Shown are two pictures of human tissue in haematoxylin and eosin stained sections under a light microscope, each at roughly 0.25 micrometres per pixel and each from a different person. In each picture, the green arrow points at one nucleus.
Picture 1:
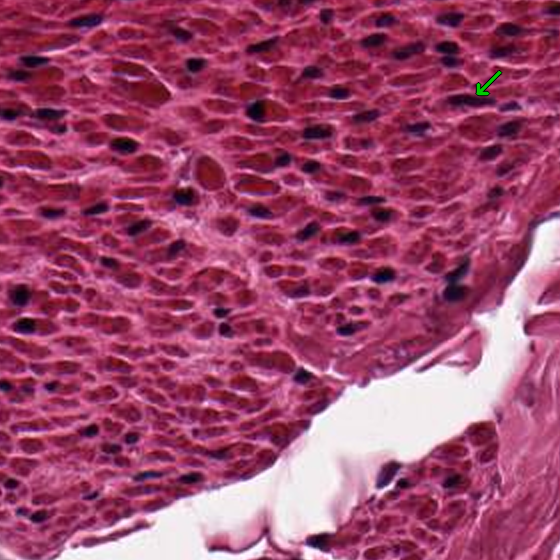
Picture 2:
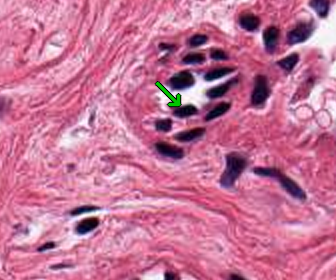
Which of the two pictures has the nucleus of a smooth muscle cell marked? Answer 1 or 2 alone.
1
